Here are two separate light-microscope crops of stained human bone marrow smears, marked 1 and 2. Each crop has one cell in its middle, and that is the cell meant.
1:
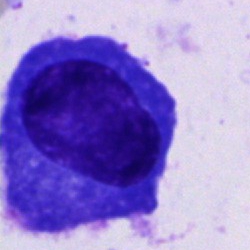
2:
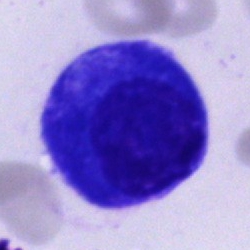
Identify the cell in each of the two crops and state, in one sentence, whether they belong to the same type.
Yes, both crops in the pair show plasma cells.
